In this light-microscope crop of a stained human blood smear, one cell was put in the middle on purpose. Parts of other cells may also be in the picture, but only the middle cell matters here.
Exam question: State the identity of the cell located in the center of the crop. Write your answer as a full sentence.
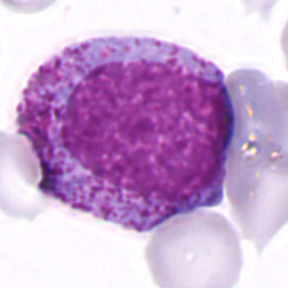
As for the central cell, it is a promyelocyte.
